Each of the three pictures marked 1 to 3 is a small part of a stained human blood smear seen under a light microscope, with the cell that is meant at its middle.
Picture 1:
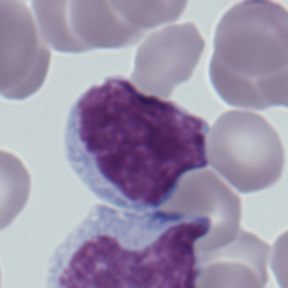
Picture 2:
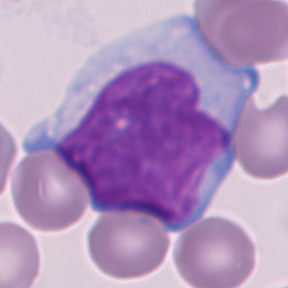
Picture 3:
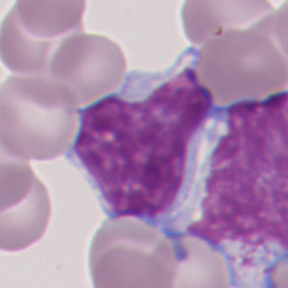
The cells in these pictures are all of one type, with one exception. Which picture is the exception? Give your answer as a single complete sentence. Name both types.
Unlike the rest, which show typical lymphocytes, picture 2 shows a myeloblast.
